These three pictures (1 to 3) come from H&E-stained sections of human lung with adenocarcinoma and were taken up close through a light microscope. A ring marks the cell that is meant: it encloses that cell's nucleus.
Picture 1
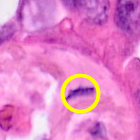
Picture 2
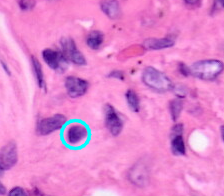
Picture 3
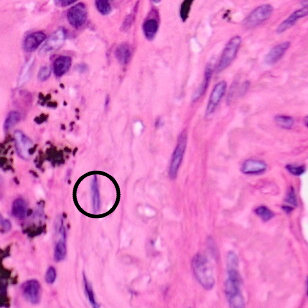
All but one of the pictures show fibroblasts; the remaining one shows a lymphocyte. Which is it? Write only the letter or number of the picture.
2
